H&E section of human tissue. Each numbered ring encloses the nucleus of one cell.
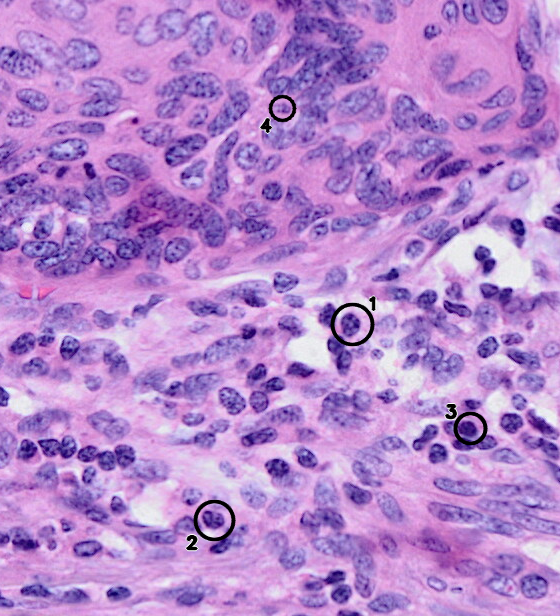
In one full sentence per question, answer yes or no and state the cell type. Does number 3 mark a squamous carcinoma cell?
No, cell 3 is not a squamous carcinoma cell, but is instead a lymphocyte.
